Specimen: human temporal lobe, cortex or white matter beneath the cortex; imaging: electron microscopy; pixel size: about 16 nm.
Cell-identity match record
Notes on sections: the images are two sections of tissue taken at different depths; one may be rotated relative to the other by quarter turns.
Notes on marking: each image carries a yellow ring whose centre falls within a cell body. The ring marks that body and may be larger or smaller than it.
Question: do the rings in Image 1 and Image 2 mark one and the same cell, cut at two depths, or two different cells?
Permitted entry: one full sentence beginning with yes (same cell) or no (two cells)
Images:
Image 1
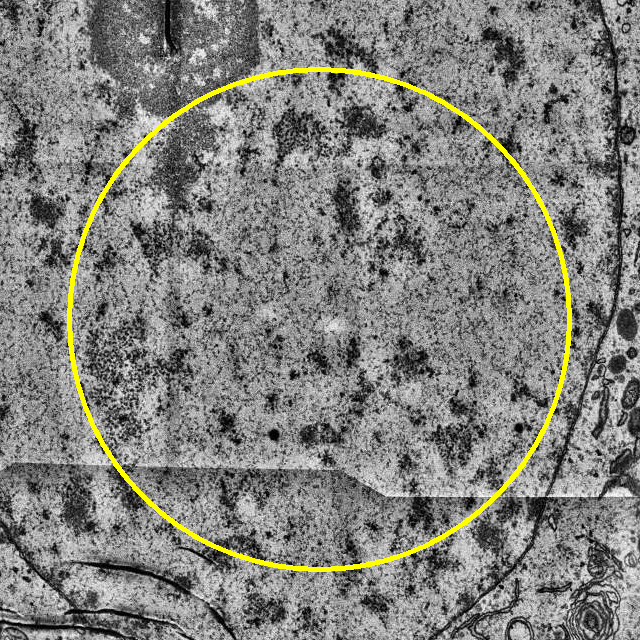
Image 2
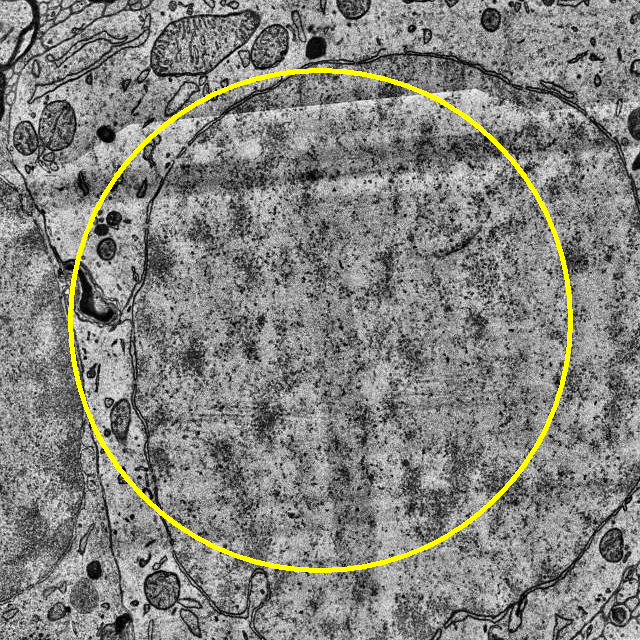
No, the rings identify two cells, not one shared cell.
